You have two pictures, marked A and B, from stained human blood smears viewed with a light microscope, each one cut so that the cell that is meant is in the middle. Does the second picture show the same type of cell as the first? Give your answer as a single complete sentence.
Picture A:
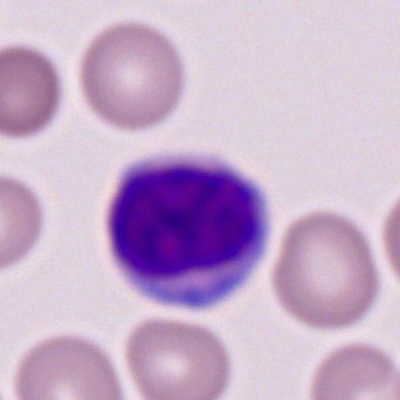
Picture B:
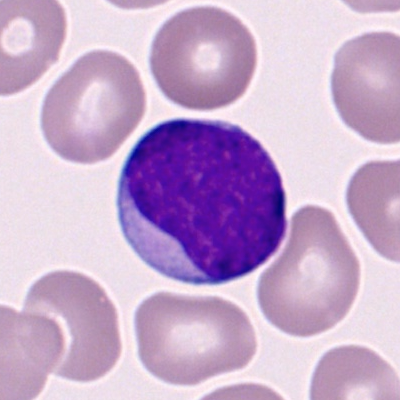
No, the types are not the same, since picture A shows a lymphocyte and picture B a myeloblast.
